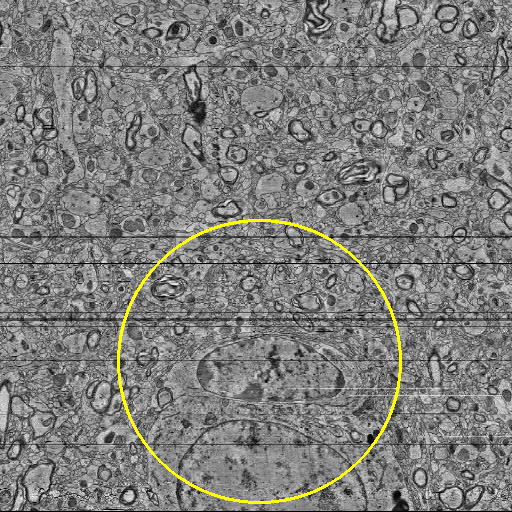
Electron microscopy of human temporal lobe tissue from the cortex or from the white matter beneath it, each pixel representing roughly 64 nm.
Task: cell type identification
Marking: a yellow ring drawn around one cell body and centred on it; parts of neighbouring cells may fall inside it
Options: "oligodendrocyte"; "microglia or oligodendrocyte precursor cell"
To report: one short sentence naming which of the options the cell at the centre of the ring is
The cell at the centre of the ring is a microglial cell or oligodendrocyte precursor cell.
